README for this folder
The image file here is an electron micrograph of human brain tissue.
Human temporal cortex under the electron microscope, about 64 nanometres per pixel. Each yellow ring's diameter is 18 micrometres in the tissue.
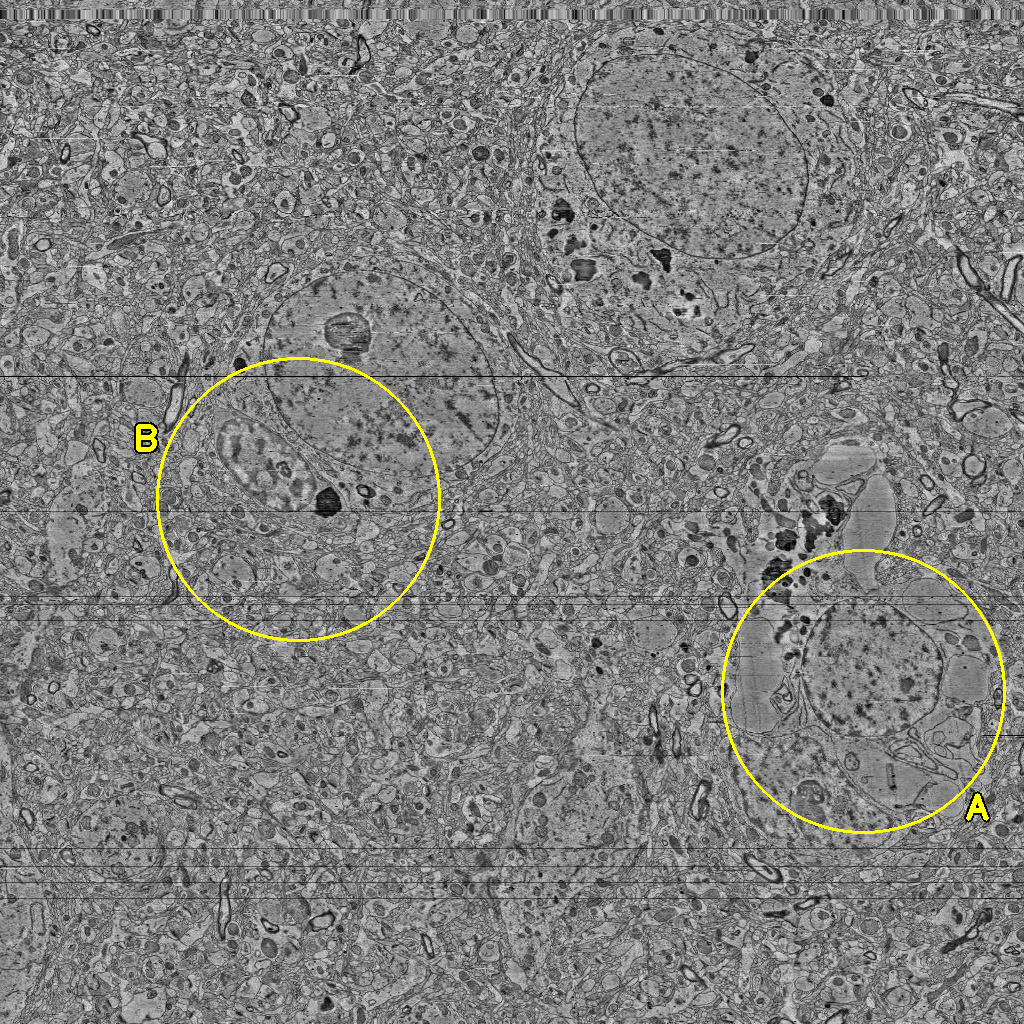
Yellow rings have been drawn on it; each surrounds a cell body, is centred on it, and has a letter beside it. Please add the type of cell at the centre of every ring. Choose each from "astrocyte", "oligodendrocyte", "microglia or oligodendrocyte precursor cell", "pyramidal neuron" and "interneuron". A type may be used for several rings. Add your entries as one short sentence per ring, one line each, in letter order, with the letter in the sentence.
Ring A marks the cell body of an astrocyte.
Ring B marks the cell body of an oligodendrocyte.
